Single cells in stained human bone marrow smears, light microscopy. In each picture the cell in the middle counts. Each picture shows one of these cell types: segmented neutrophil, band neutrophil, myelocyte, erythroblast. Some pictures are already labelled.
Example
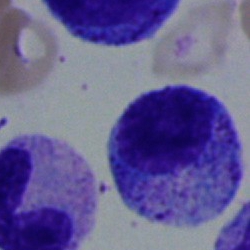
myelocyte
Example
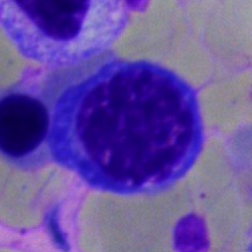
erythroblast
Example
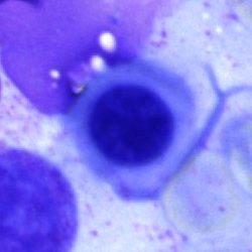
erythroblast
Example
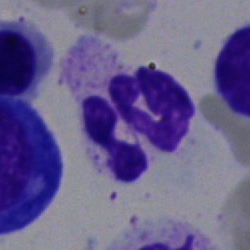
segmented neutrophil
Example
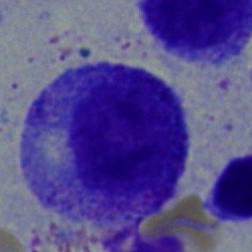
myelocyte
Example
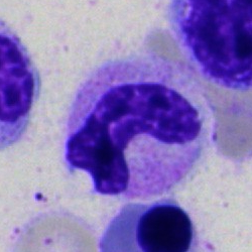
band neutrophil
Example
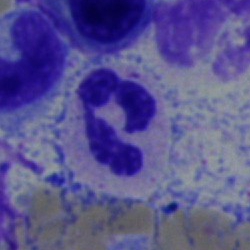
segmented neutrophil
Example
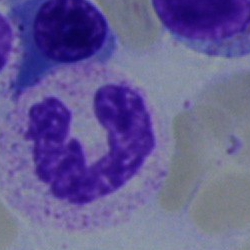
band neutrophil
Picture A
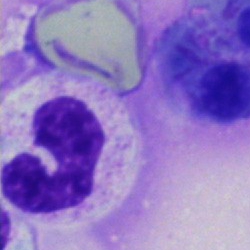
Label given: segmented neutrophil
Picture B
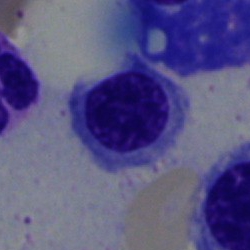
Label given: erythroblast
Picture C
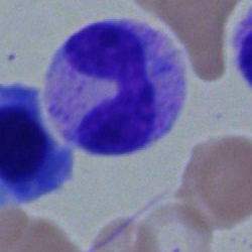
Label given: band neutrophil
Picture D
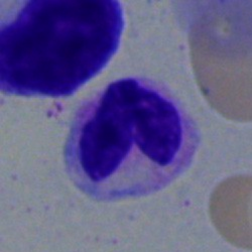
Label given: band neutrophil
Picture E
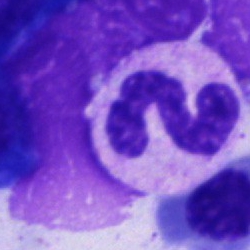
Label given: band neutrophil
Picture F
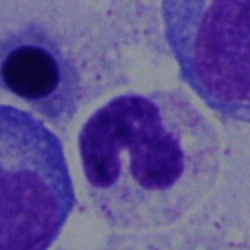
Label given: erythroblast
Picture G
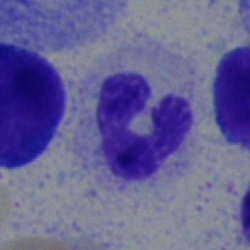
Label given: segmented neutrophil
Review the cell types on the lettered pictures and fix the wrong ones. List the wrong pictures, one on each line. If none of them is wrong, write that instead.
F: not erythroblast but band neutrophil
